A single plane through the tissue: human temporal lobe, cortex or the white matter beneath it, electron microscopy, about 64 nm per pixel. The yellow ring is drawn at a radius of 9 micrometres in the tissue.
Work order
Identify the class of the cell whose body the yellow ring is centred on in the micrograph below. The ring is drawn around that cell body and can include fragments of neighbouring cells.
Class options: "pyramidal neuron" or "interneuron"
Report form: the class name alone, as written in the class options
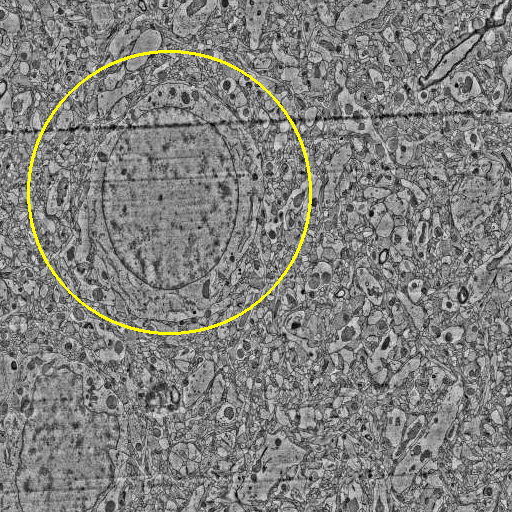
pyramidal neuron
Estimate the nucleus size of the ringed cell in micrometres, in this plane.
The nucleus works out at approximately 11 by 9 micrometres in this plane.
